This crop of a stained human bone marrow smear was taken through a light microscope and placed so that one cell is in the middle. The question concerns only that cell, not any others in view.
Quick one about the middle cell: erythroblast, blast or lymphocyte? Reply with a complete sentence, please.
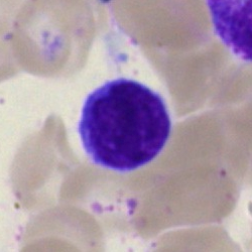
The middle of this crop is occupied by a lymphocyte.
